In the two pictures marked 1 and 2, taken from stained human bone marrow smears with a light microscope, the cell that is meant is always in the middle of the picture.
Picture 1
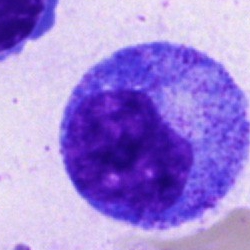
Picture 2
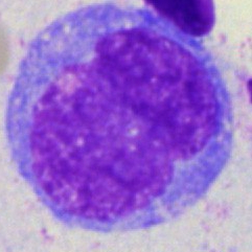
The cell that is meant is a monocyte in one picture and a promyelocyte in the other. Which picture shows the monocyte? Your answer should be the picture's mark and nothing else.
2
